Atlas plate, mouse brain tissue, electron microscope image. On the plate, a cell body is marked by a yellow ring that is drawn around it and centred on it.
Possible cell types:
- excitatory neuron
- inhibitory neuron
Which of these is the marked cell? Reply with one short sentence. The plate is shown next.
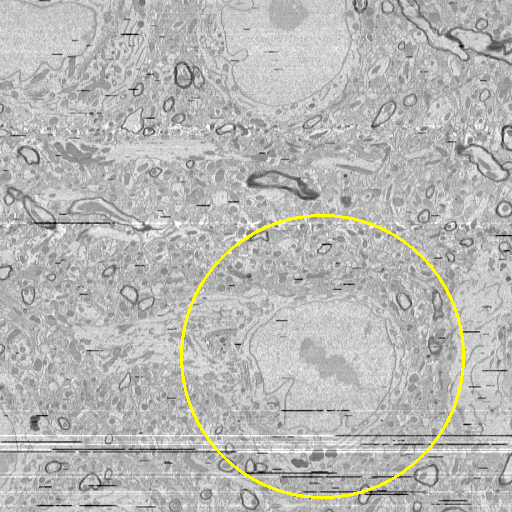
The marked cell is an inhibitory neuron.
